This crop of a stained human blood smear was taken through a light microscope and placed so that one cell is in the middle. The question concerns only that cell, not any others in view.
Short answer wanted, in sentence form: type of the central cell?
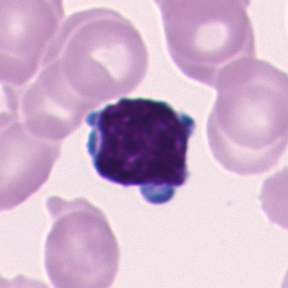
This crop's central cell is a lymphocyte.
